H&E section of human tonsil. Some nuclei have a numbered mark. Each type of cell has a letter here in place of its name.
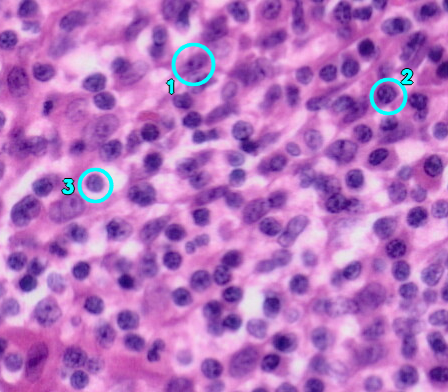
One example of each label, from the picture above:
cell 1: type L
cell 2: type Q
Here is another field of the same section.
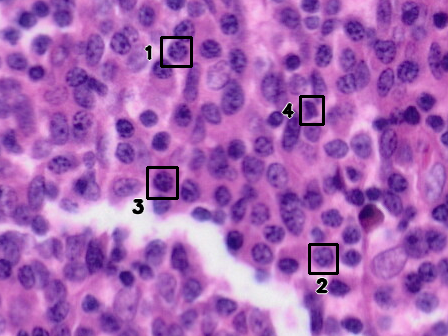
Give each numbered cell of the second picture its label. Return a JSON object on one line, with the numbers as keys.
{"1": "type Q", "2": "type Q", "3": "type Q", "4": "type L"}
